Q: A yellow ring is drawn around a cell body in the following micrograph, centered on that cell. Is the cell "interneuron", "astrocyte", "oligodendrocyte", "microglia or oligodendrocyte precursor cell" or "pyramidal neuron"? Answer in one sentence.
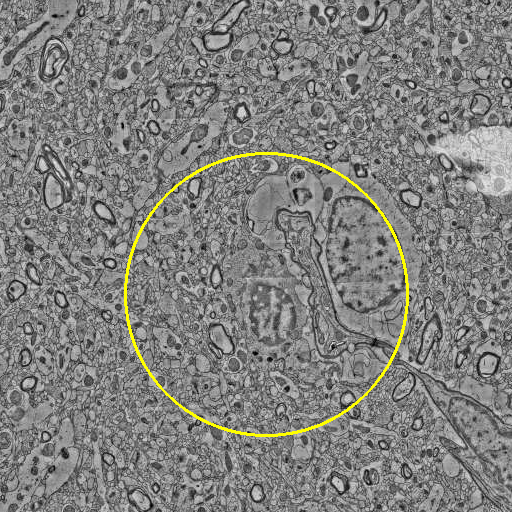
The cell in the center of the ring is an oligodendrocyte.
